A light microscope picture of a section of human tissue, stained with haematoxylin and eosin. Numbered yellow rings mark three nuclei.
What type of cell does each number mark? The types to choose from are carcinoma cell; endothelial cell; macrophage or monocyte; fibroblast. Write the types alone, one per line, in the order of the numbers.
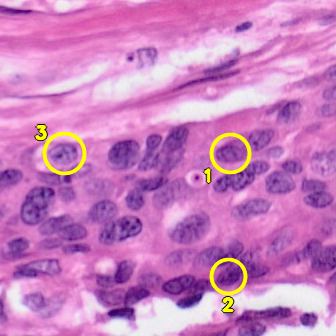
carcinoma cell
carcinoma cell
macrophage or monocyte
